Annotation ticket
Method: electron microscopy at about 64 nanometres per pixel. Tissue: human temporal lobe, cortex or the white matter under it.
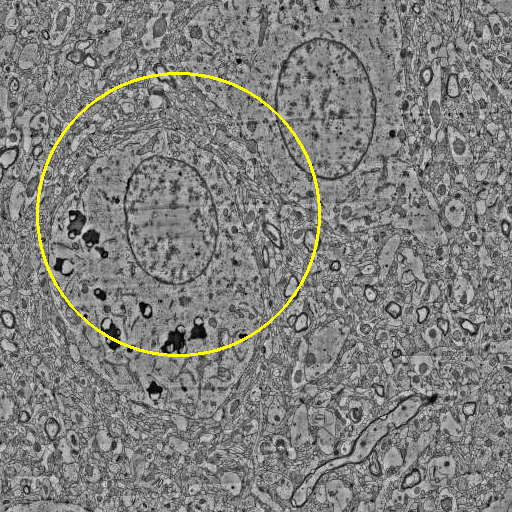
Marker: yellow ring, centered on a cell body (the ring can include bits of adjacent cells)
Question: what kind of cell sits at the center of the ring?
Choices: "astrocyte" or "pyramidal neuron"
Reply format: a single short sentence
The ring is centered on a pyramidal neuron.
